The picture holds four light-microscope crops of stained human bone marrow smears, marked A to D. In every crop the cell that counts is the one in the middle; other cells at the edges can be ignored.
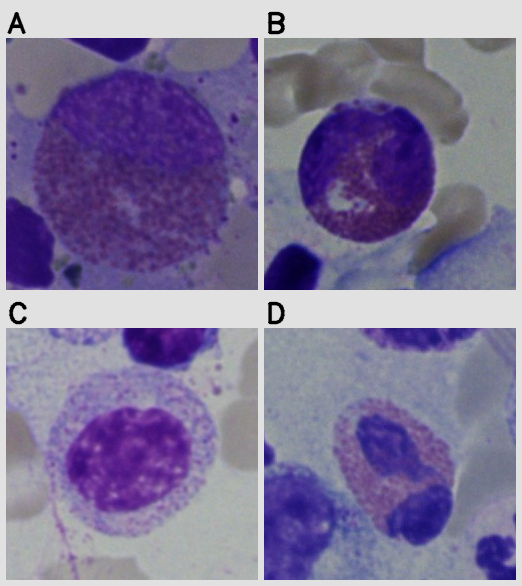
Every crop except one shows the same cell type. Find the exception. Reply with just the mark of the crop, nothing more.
C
